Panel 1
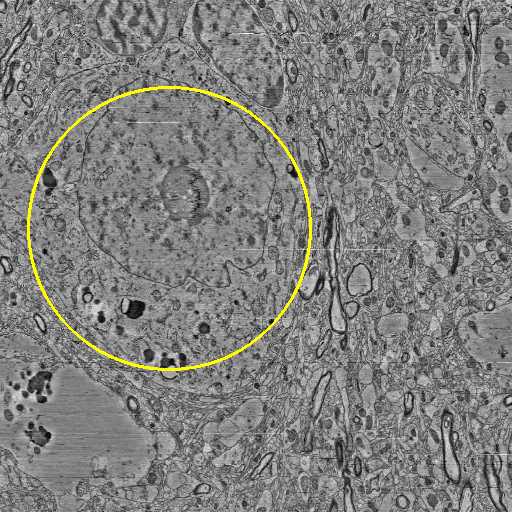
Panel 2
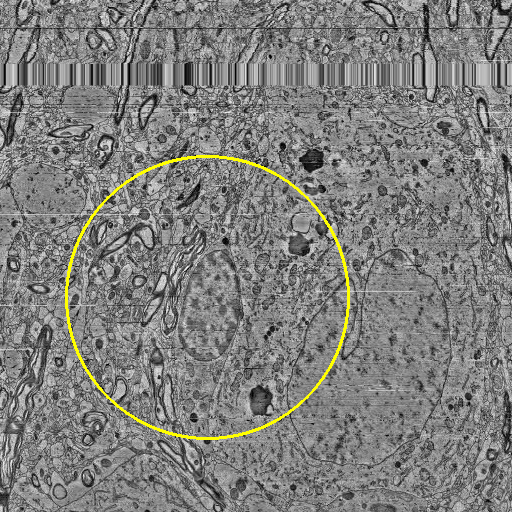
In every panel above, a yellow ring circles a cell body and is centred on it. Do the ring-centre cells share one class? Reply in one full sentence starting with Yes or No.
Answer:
No, the two cells at the ring centres in the panels belong to two classes.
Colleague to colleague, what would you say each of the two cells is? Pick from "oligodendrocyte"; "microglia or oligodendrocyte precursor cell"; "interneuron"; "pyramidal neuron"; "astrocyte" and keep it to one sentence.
The cell in the first picture is a pyramidal neuron; the second picture's cell is an oligodendrocyte.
